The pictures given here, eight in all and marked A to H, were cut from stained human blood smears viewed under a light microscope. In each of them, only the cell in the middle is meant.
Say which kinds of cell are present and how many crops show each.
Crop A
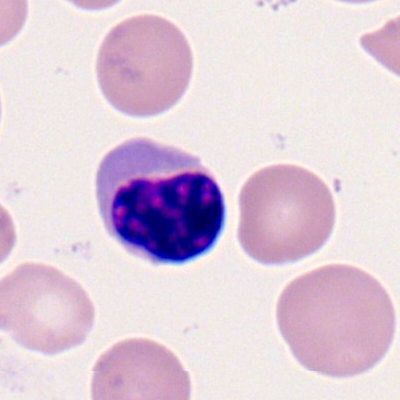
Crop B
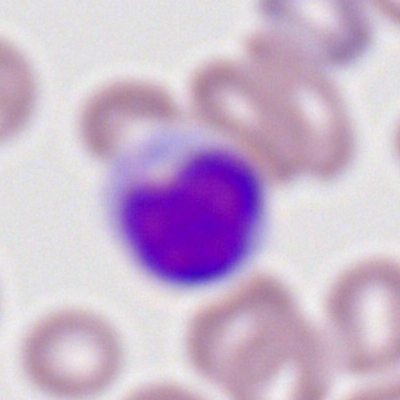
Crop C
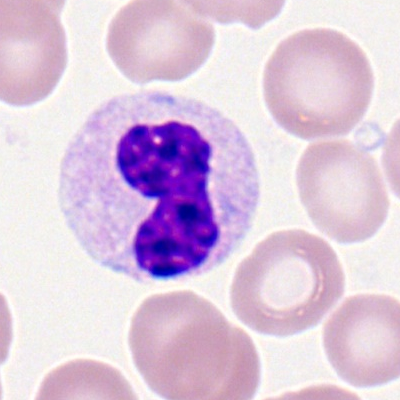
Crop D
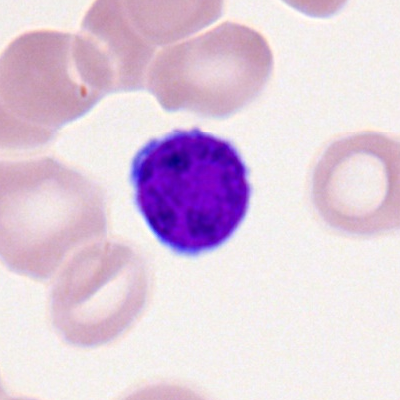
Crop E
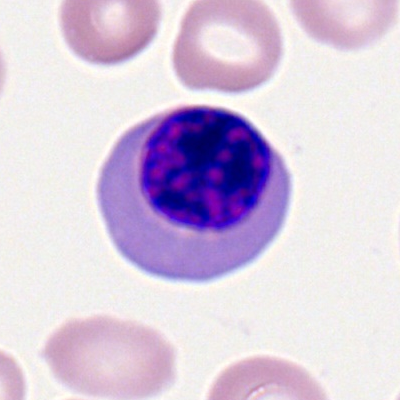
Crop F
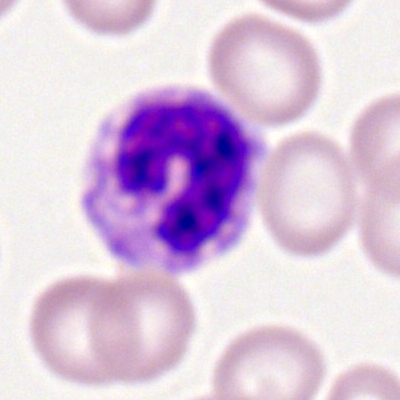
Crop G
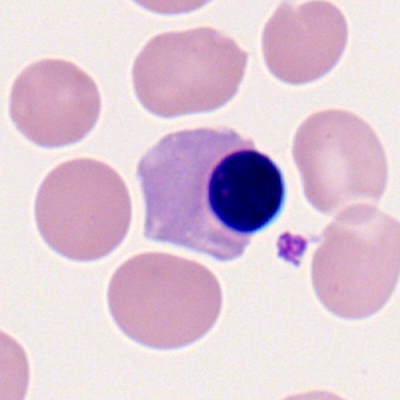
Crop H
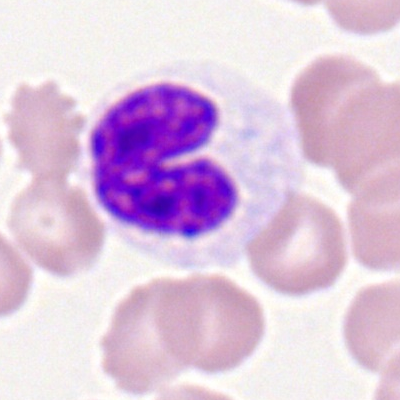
erythroblast: 3
band neutrophil: 3
lymphocyte: 2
